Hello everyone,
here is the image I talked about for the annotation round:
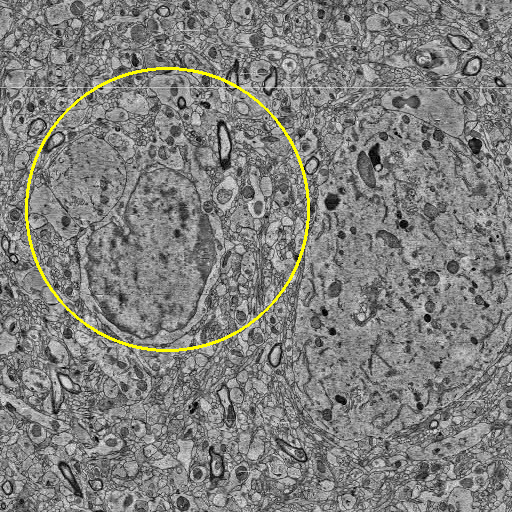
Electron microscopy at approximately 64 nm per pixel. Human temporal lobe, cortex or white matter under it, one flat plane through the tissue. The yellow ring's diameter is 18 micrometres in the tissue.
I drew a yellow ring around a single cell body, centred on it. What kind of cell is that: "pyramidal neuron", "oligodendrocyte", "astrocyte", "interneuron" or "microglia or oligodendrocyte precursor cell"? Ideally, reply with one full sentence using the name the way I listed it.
The cell your yellow ring is centred on is an interneuron, going by your list.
